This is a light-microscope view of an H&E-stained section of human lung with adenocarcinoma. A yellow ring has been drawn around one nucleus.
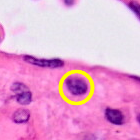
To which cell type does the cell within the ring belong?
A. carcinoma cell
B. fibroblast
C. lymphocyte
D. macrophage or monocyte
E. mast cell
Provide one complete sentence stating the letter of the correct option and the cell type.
Option E is the one to take: the cell within the ring is a mast cell.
